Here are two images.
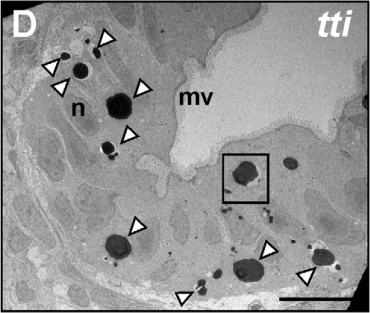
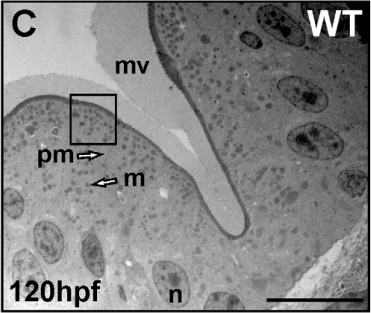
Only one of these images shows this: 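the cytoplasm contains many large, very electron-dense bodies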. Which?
The first image.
